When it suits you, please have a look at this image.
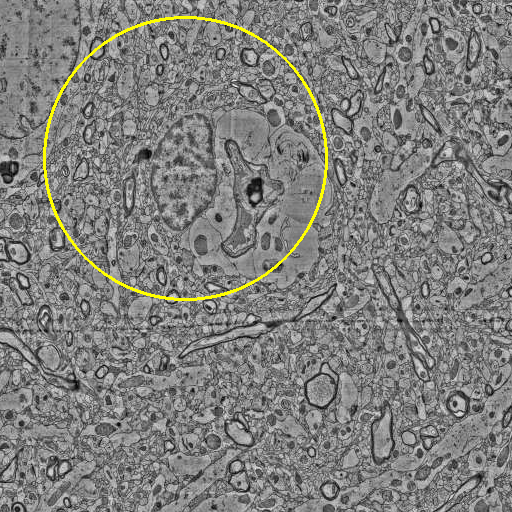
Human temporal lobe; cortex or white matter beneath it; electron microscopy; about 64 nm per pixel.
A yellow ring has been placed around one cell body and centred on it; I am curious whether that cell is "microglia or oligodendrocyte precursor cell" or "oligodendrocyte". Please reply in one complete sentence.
The ringed cell, an oligodendrocyte, has its body at the centre of the yellow ring.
